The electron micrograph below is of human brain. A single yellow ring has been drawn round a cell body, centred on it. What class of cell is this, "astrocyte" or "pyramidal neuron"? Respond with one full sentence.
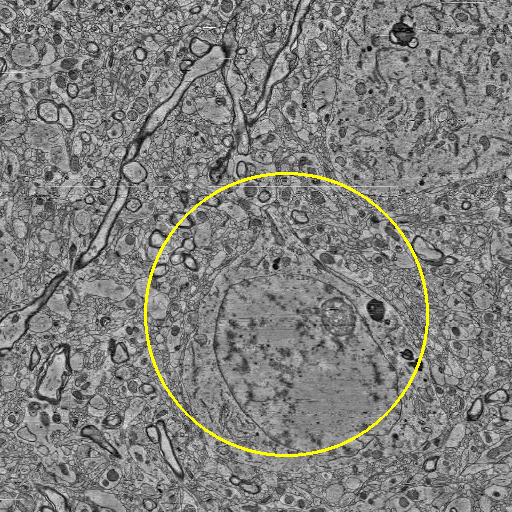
In the micrograph, the cell centred inside the yellow ring is a pyramidal neuron.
